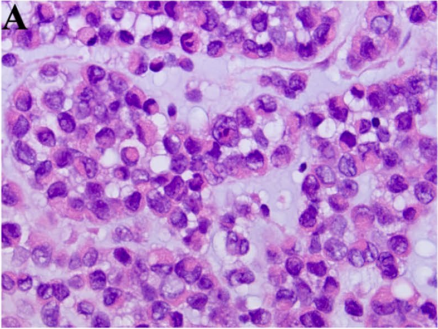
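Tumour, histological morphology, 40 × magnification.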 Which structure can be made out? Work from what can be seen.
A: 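Myxoid stroma. Pale, loose, bluish-grey material lies between the cell groups.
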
